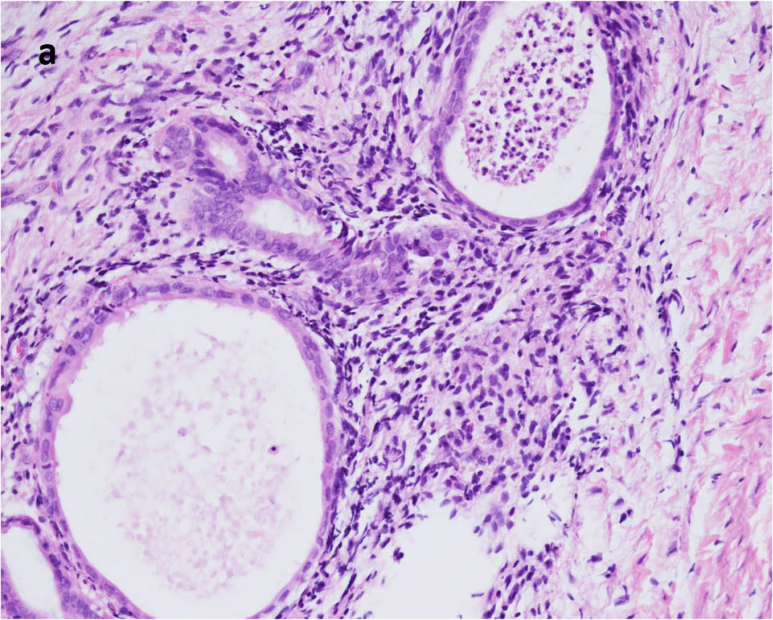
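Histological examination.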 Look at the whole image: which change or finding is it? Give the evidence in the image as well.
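Several glands lined by a single layer of cuboidal to columnar epithelium. Some gland lumina are widely dilated. Each gland is surrounded by a dense, cellular stroma of small spindle-shaped cells with dark nuclei. Looser pink fibrous tissue lies outside this cellular stroma.
Answer: endometriosis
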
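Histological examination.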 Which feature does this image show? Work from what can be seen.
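Round glands with wide, open lumina. Lumina contain pale pink material and loose cells.
Answer: Glands with dilated lumen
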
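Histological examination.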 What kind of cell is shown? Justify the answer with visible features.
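Short spindle cells. Densely packed cells with small, elongated dark nuclei cuff the glands. These cells lie between the glands and the paler fibrous tissue.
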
